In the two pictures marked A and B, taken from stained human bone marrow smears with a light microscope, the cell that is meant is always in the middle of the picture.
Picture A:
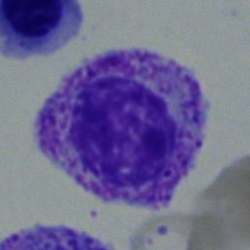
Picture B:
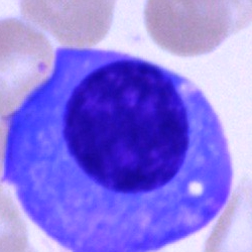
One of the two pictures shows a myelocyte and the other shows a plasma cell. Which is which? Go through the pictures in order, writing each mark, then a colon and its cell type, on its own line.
A: myelocyte
B: plasma cell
